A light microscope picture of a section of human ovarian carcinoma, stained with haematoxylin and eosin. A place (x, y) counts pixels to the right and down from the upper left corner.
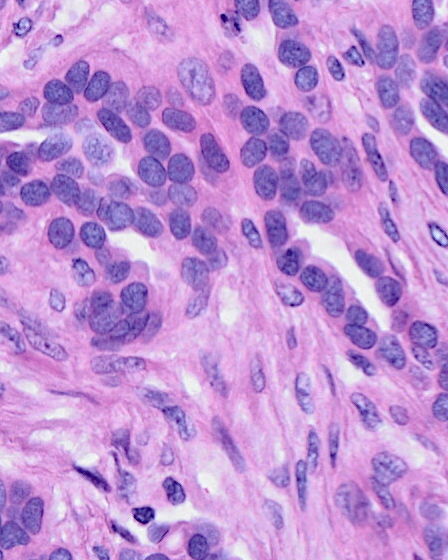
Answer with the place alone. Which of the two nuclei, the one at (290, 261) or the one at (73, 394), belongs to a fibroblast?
(73, 394)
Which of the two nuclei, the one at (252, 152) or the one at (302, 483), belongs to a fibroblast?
(302, 483)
